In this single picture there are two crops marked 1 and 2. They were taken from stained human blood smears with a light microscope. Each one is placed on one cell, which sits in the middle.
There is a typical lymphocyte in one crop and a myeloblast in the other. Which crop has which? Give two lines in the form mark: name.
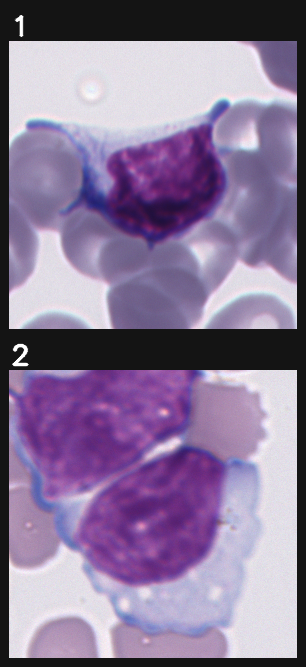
1: typical lymphocyte
2: myeloblast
